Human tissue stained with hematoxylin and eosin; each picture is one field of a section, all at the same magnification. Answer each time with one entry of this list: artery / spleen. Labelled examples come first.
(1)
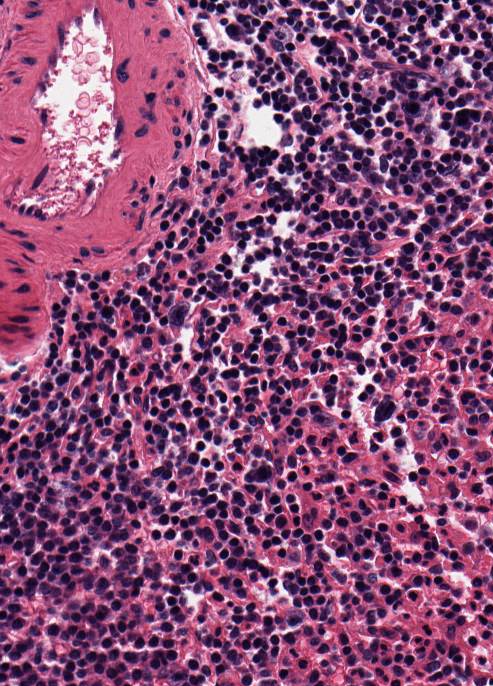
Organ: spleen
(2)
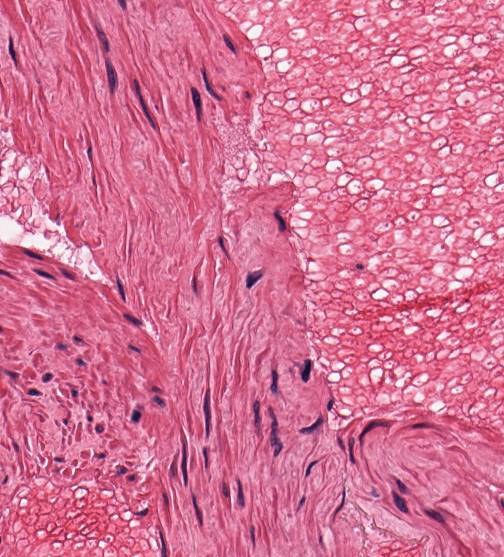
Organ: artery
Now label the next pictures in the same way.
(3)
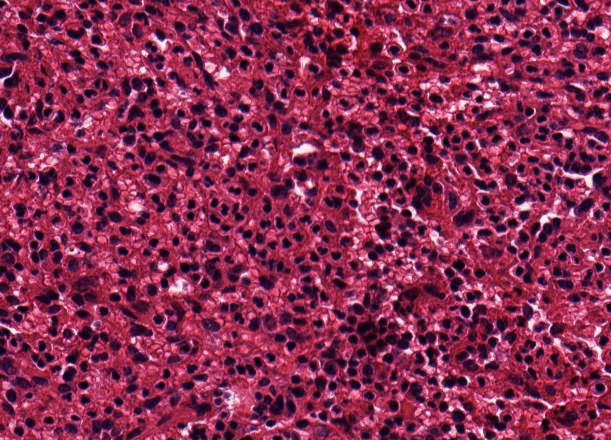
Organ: spleen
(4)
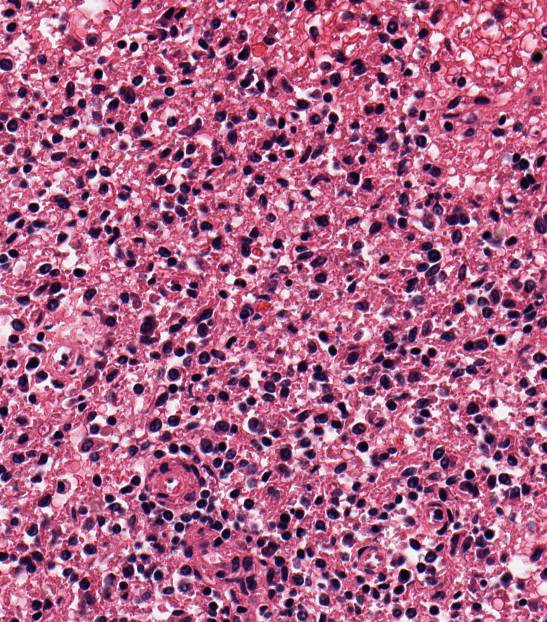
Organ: spleen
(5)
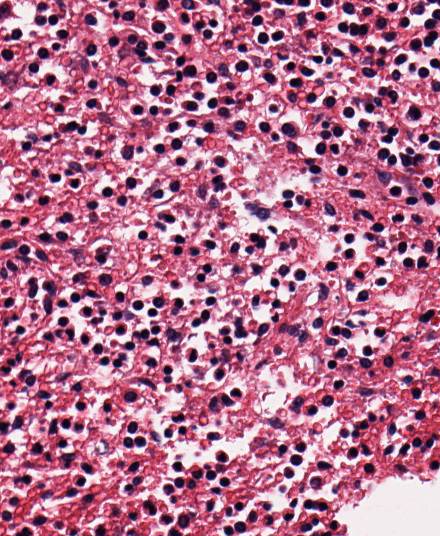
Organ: spleen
